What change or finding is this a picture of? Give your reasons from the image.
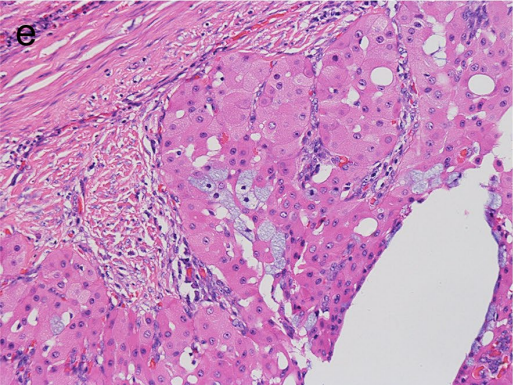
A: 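Oncocytic mucoepidermoid carcinoma. Nests of cells with abundant pink granular cytoplasm. Scattered pale bluish mucous cells among them. Clear vacuoles and a large cystic space.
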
